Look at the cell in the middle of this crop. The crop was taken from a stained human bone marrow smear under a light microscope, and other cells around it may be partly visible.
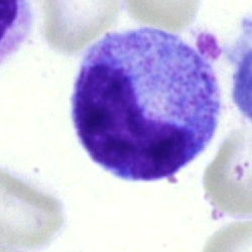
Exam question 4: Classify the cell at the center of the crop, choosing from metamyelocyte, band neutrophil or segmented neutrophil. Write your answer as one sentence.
The cell at the centre of the field is a metamyelocyte.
